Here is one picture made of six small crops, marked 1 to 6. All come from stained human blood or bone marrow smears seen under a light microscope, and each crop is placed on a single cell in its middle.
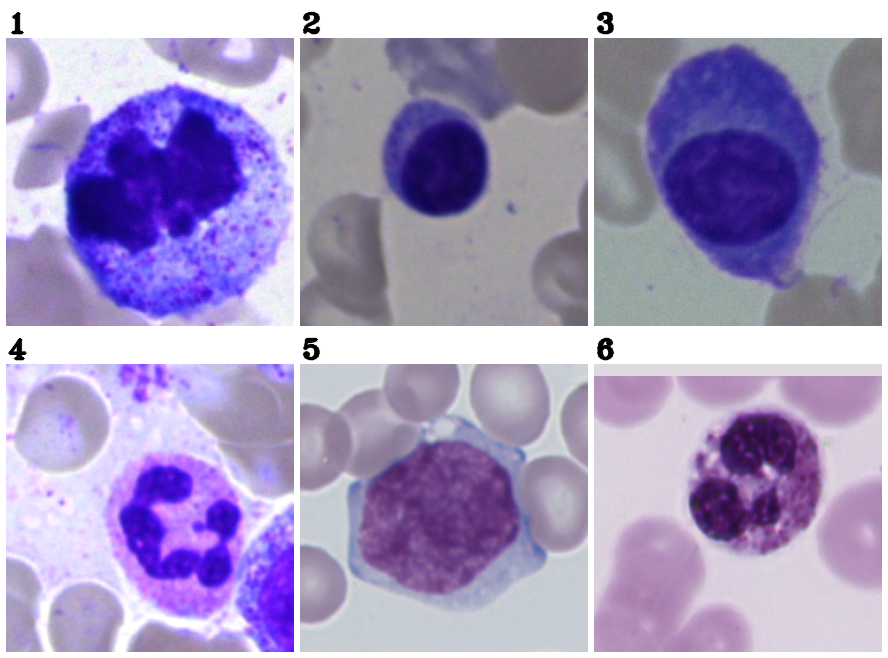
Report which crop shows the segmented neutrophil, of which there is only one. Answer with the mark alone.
4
